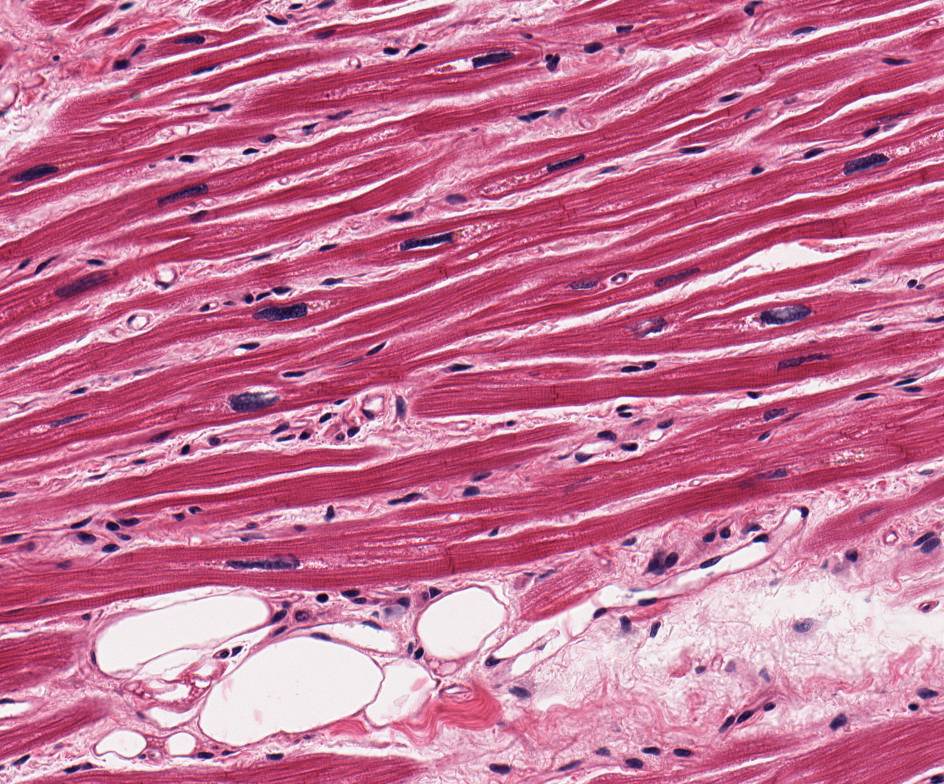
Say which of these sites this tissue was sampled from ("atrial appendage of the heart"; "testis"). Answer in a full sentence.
The site this tissue was sampled from is the atrial appendage of the heart.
